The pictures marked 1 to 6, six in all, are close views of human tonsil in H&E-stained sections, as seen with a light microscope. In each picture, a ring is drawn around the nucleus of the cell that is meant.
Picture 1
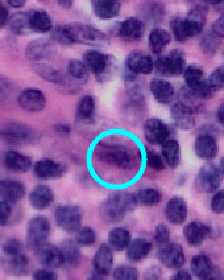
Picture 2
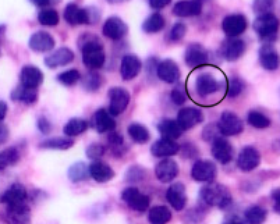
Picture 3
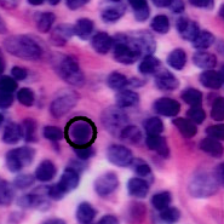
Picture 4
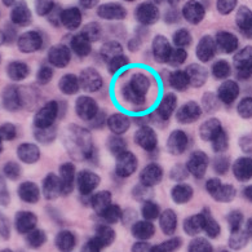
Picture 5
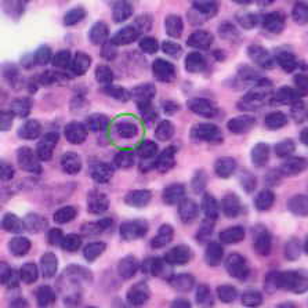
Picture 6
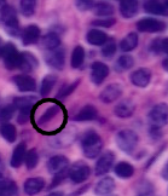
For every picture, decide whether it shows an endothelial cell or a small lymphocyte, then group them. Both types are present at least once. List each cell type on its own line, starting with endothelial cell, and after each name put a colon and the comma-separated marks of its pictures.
endothelial cell: 1, 3, 6
small lymphocyte: 2, 4, 5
